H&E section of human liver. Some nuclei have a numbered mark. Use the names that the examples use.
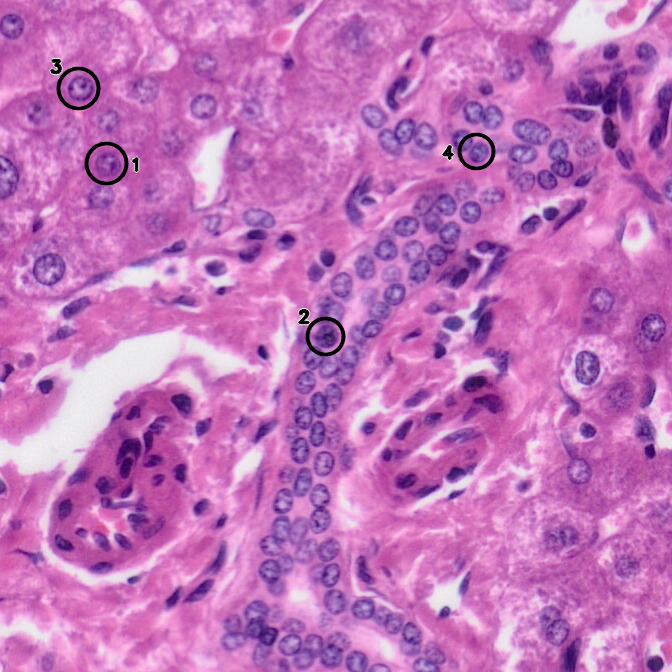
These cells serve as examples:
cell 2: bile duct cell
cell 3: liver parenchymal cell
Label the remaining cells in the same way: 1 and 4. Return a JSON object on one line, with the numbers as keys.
{"1": "liver parenchymal cell", "4": "bile duct cell"}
